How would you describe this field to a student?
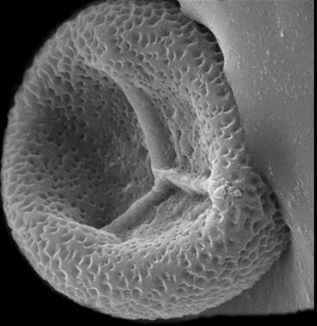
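A rounded spore is viewed from its ventral side, showing a three-armed ridge meeting at one point. The whole surface is sculptured with small irregular pits and ridges, and the spore is partly collapsed so that one face is sunken.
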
